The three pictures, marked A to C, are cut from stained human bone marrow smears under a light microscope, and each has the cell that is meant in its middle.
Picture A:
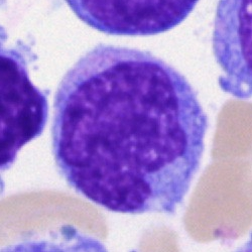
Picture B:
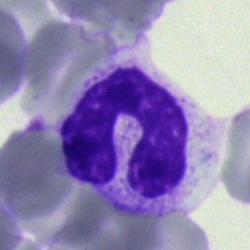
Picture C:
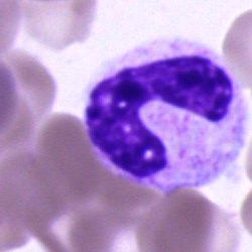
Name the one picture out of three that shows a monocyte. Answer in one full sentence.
The cell in picture A is the monocyte.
